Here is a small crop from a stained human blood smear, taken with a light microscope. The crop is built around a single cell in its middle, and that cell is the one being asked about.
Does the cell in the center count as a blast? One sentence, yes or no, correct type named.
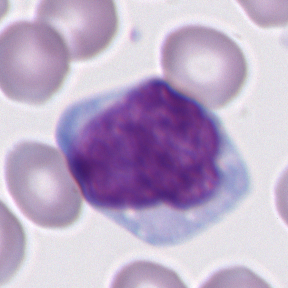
Yes, the cell that lies centrally is a blast.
